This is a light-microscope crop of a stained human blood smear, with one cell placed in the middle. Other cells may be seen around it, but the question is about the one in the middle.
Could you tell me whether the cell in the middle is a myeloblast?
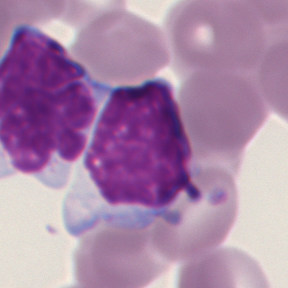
no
